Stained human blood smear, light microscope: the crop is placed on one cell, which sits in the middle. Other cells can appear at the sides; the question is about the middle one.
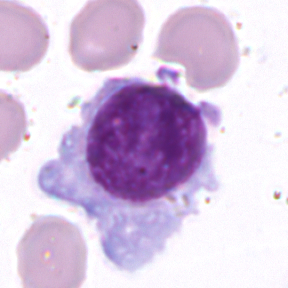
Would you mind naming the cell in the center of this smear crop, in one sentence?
The centrally located cell in the crop is a plasma cell.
